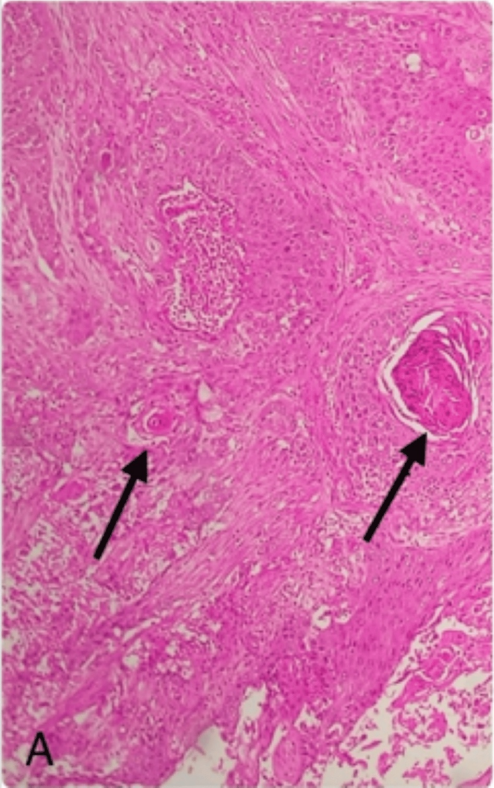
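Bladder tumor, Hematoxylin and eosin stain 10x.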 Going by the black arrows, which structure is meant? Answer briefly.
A: keratin pearls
